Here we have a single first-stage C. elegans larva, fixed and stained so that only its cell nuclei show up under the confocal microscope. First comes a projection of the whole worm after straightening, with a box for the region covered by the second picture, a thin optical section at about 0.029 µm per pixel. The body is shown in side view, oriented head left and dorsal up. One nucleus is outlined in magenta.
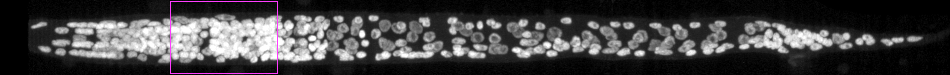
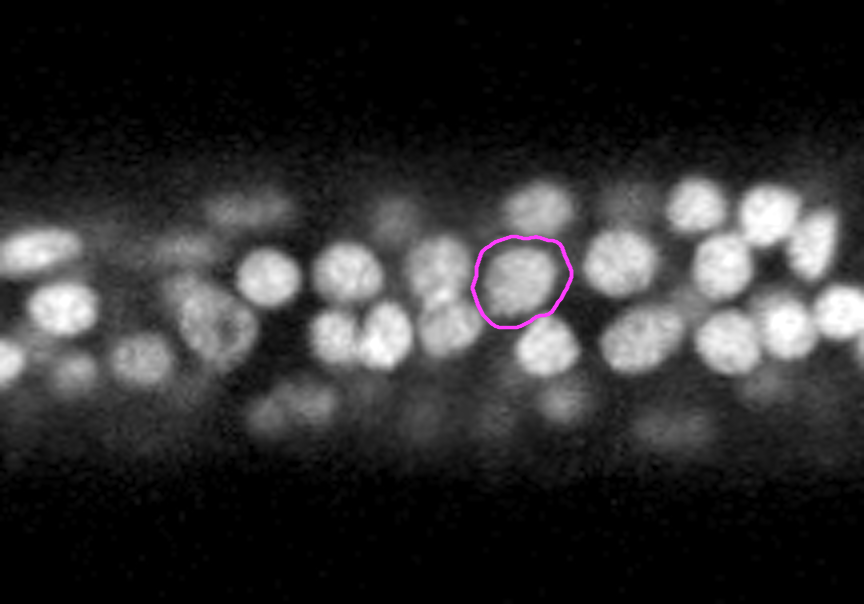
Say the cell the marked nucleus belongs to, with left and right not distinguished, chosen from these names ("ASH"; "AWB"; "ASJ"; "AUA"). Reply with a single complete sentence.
The marked nucleus belongs to ASH, a neuron.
